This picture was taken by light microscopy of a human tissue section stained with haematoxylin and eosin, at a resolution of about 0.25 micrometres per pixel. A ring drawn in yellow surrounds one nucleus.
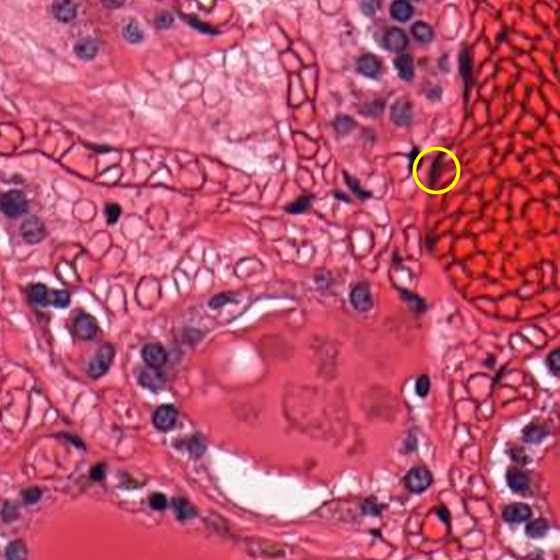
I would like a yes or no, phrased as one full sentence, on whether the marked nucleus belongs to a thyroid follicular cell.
No, the cell whose nucleus is marked is a supporting cell and not a thyroid follicular cell.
